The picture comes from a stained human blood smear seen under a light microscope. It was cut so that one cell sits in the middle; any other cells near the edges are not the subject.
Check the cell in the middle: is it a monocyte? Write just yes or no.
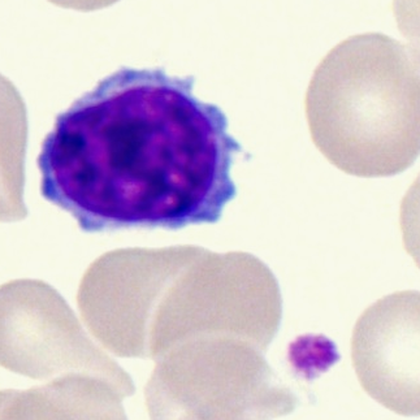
no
